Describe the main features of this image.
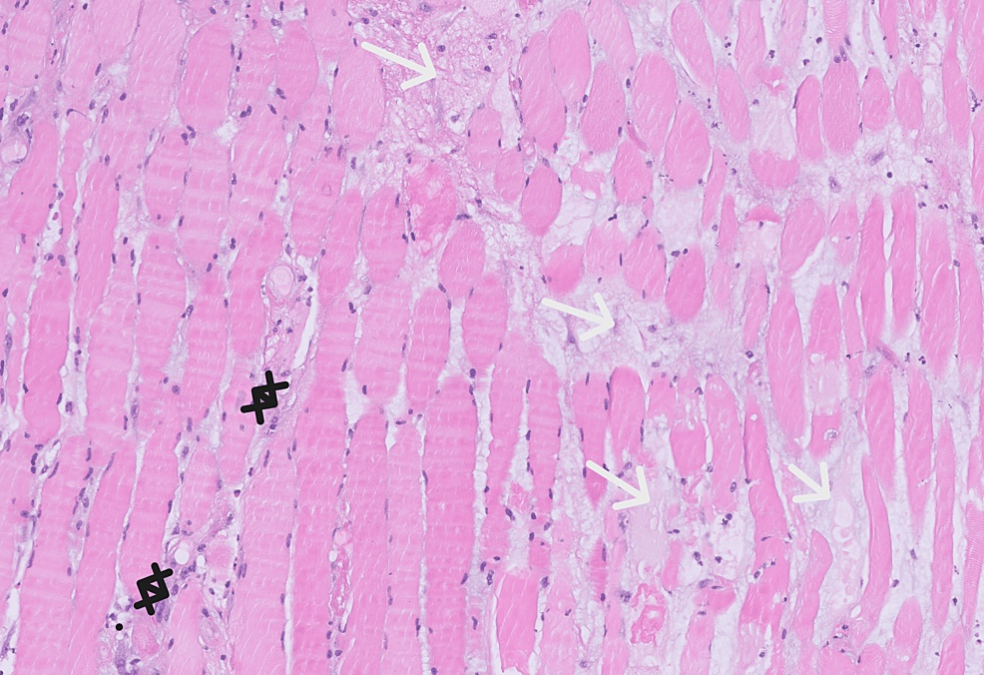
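This is skeletal muscle with long pink fibers. The fibers show cross-striations and have flattened dark nuclei at their edges. In several places the spaces between fibers are widened by pale, wispy material that pushes the fibers apart and disturbs their alignment. Small dark nuclei are scattered in these interstitial spaces, where they point to inflammatory cells.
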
